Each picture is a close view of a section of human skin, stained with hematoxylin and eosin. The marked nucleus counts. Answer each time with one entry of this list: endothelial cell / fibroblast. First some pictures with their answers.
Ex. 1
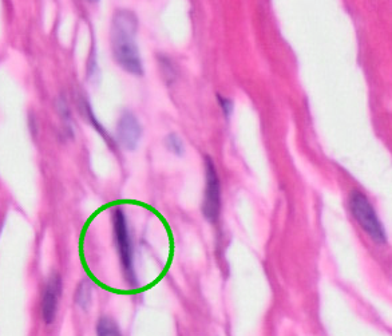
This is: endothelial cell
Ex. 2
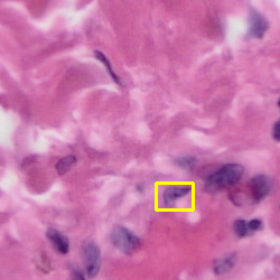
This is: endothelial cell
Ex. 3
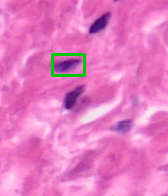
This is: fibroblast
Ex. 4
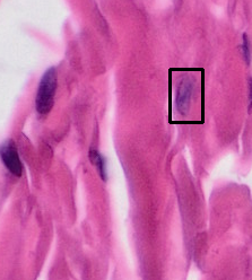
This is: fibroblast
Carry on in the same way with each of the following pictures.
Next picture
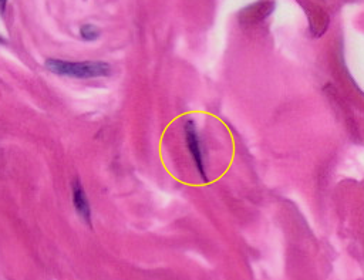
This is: fibroblast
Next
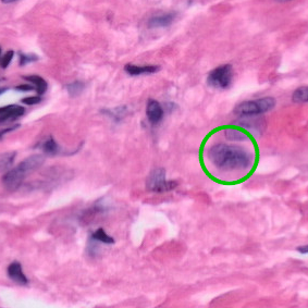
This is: endothelial cell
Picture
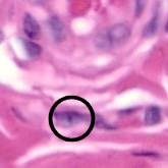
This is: endothelial cell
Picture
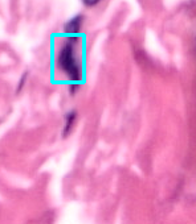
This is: endothelial cell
